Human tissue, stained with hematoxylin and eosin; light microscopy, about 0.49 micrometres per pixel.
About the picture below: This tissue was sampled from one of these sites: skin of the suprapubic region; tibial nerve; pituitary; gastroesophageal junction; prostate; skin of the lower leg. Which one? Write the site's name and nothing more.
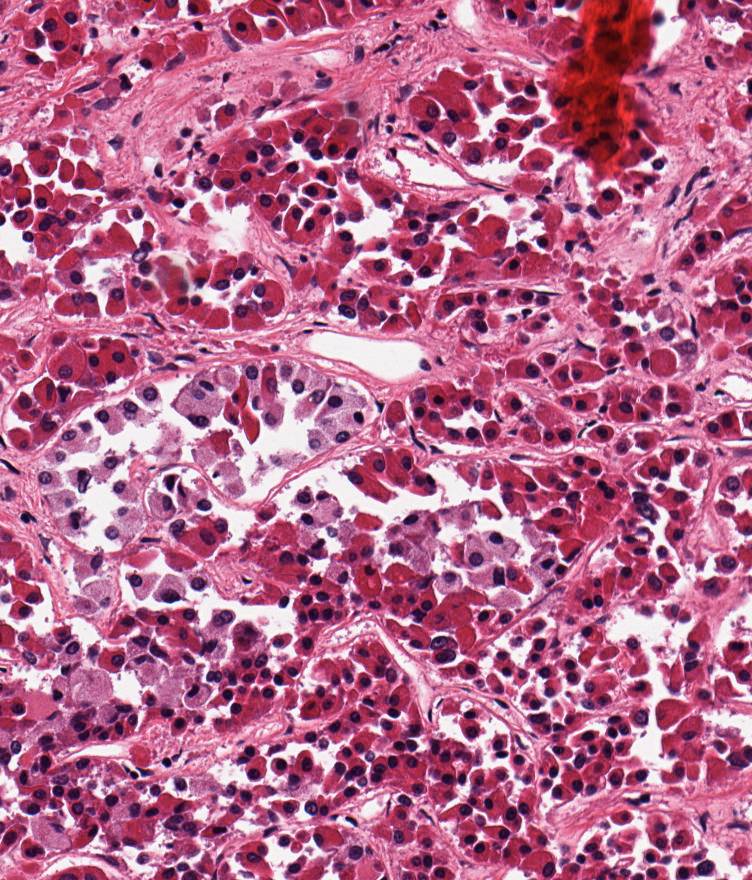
pituitary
